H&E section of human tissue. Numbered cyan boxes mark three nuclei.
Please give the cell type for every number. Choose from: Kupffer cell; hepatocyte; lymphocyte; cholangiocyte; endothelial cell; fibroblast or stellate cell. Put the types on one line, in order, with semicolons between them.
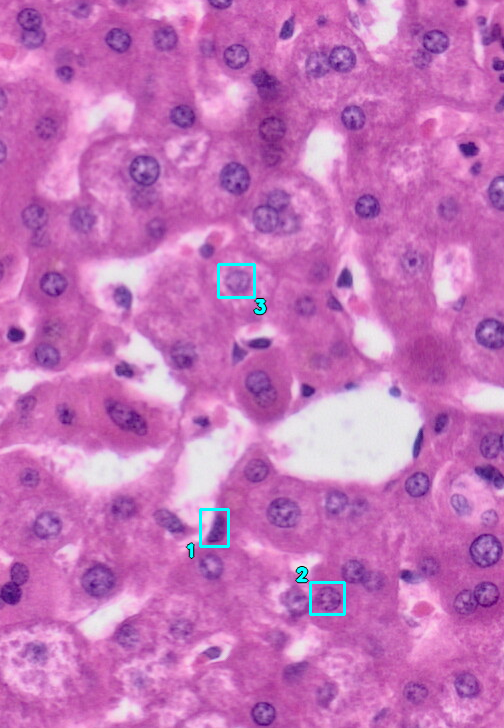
fibroblast or stellate cell; hepatocyte; hepatocyte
